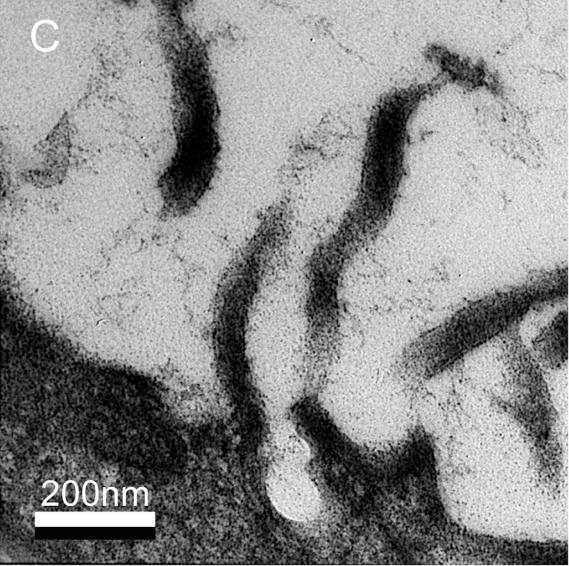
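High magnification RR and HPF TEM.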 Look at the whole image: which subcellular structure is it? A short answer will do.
Microvilli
